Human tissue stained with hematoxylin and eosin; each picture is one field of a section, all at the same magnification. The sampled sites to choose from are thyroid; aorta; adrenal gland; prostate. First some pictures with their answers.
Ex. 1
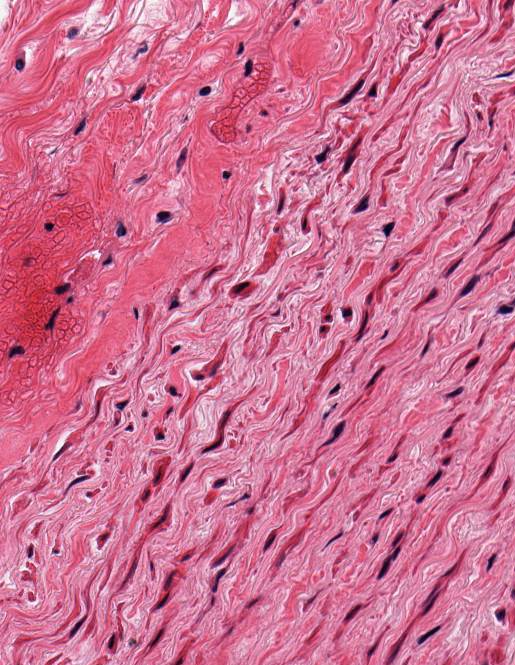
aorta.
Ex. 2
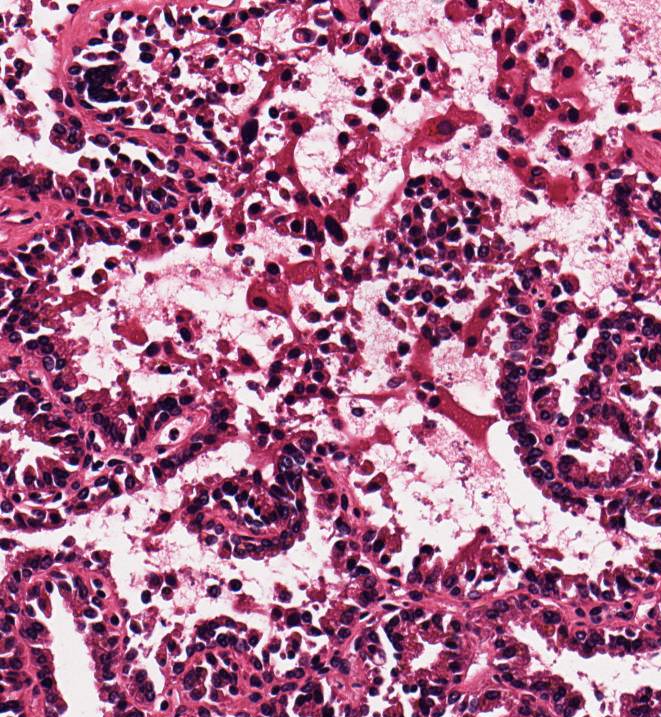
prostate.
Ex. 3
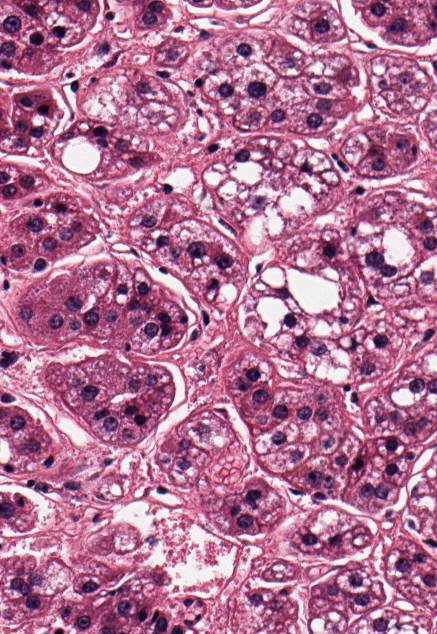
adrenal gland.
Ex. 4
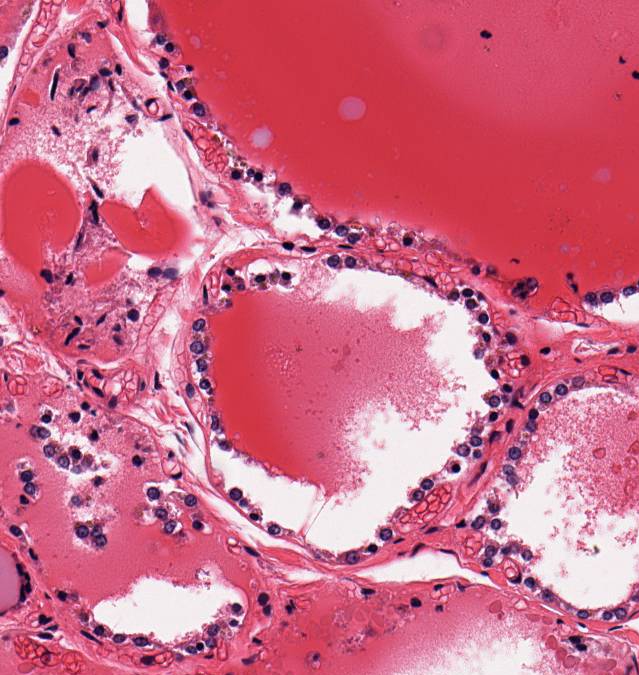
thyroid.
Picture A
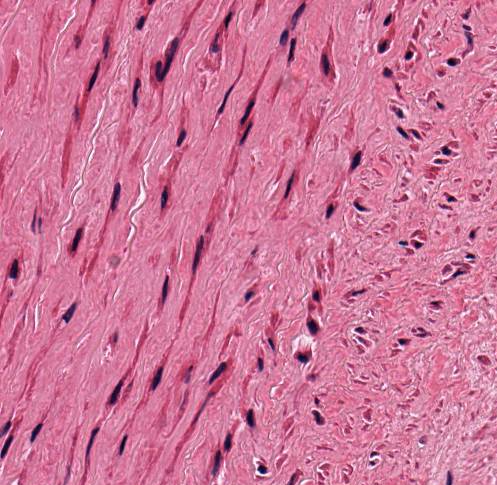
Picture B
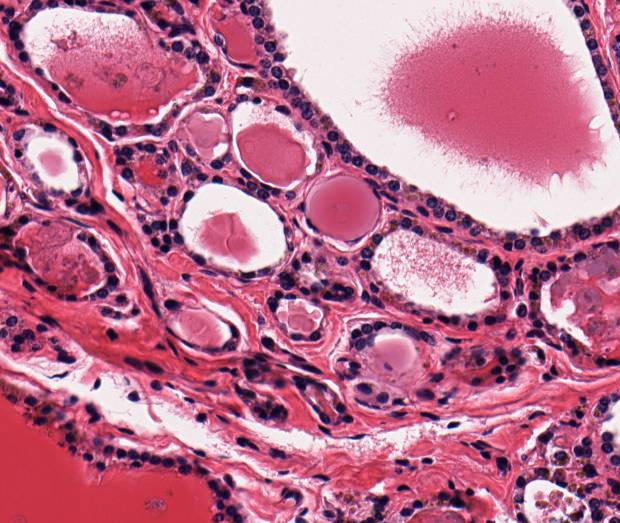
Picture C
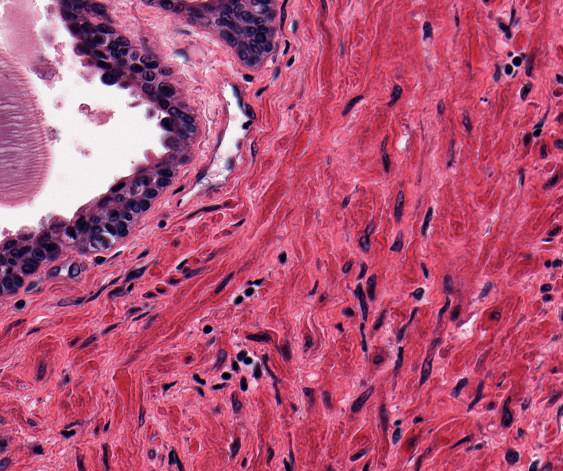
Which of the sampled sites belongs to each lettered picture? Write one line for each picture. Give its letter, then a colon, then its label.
A: aorta.
B: thyroid.
C: prostate.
